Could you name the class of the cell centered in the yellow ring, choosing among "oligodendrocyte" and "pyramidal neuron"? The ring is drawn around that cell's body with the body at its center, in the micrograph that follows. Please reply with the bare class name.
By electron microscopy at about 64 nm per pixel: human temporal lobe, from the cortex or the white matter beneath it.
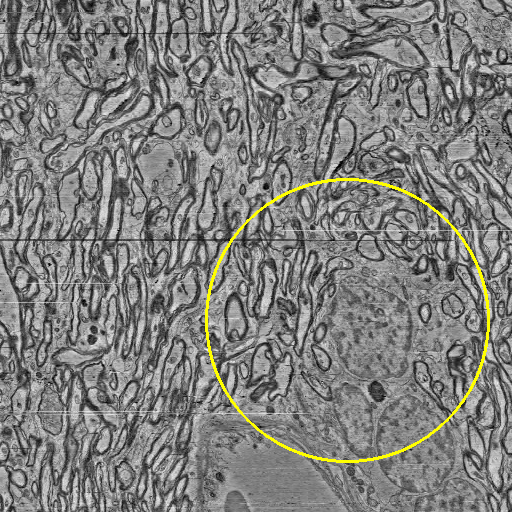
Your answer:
oligodendrocyte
